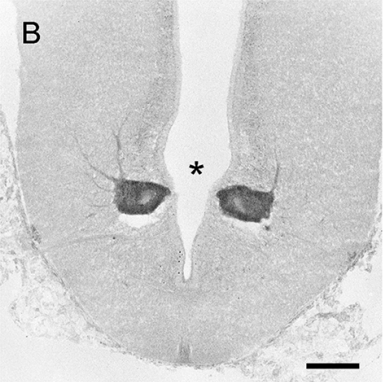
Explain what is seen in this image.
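This transverse section of the brain shows a narrow midline ventricle, with a pale, weakly stained neural wall on each side. On either side of the ventricle lies one large neuron whose cell body is intensely dark-stained. Thin dark processes run outward from each of these cell bodies into the lateral neural tissue. The rest of the tissue is only faintly stained.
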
